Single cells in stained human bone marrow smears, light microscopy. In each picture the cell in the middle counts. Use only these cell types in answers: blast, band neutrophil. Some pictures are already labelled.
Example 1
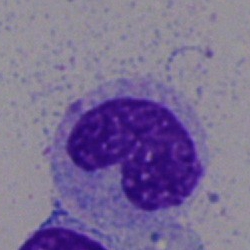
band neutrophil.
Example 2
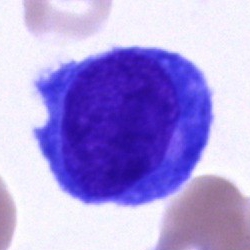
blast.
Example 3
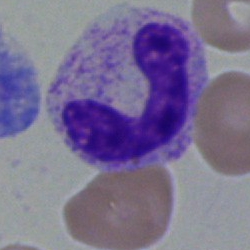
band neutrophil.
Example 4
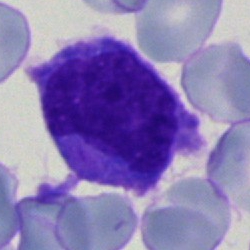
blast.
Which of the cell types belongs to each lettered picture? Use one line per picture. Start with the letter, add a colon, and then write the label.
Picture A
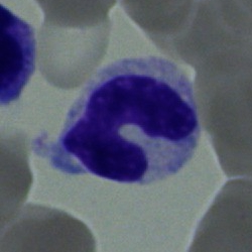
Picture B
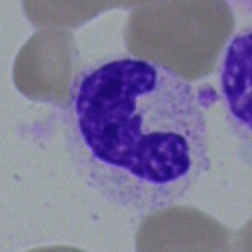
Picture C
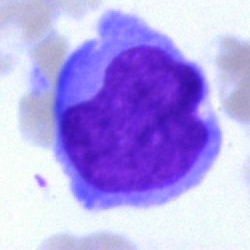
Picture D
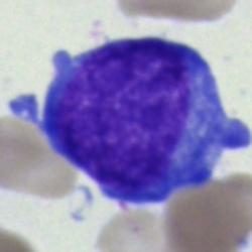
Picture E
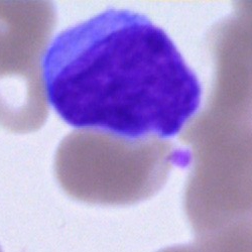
A: band neutrophil.
B: band neutrophil.
C: blast.
D: blast.
E: blast.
